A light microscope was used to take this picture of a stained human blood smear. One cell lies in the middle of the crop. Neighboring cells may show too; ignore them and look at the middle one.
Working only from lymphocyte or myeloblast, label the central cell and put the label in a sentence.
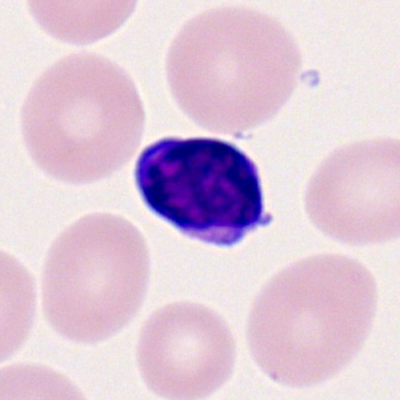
In this crop, the cell at the very middle is a lymphocyte.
